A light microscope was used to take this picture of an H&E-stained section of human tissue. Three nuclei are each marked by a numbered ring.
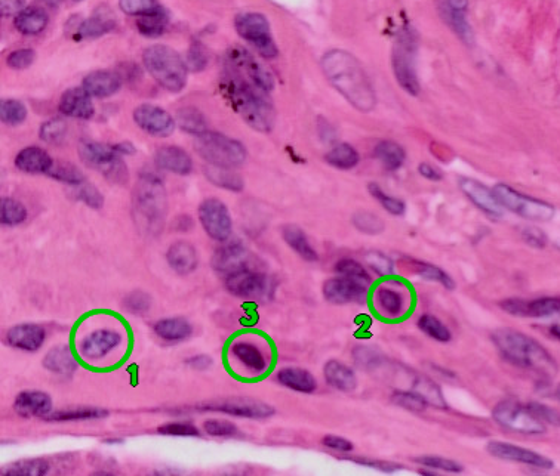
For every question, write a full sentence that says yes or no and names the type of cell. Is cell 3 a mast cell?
No, cell 3 is a plasma cell and should not be called a mast cell.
